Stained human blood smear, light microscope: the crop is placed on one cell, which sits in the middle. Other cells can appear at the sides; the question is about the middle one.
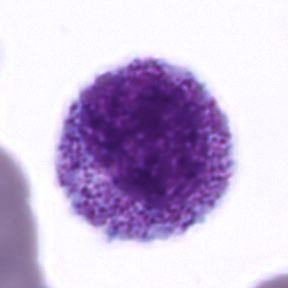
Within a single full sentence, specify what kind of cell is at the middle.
By type, the central cell of the crop is a myelocyte.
